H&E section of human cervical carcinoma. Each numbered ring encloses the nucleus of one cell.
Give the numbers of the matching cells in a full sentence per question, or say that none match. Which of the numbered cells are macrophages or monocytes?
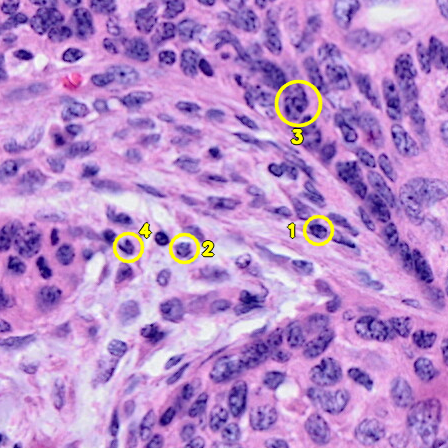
As regards the numbered cells, macrophages or monocytes are not represented.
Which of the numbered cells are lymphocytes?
The cells with the number labels 1, 2 and 4 are lymphocytes.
